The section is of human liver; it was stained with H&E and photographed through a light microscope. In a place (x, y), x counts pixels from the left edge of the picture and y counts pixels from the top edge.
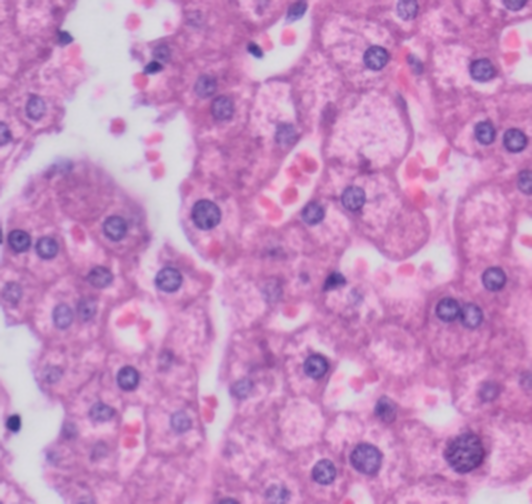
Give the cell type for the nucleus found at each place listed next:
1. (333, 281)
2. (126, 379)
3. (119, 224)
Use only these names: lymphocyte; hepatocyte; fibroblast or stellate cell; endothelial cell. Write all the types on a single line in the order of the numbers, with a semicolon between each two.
fibroblast or stellate cell; hepatocyte; hepatocyte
